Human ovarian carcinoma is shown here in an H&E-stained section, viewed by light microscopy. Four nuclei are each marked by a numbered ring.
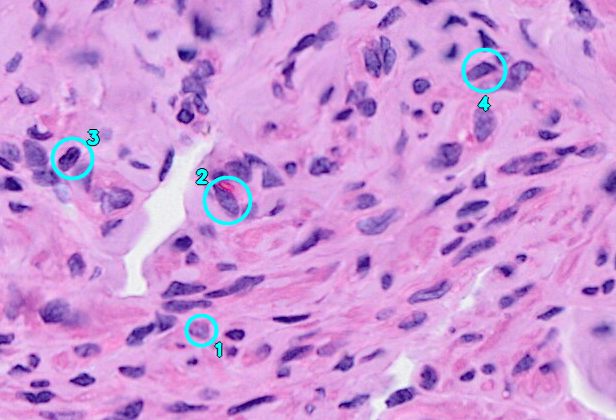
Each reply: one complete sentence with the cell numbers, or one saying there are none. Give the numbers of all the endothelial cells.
In contrast to the remaining marked cells, cell 2 is an endothelial cell.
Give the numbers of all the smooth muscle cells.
So, the cells with numbers 1 and 4 are smooth muscle cells.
